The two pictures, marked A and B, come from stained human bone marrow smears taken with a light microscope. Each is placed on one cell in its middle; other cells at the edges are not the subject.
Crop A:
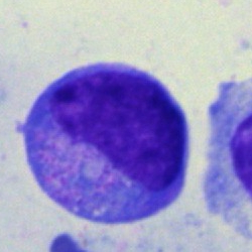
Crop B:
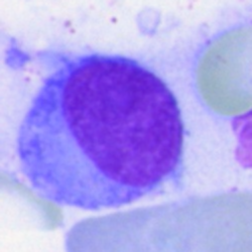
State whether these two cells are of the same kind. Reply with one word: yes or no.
no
